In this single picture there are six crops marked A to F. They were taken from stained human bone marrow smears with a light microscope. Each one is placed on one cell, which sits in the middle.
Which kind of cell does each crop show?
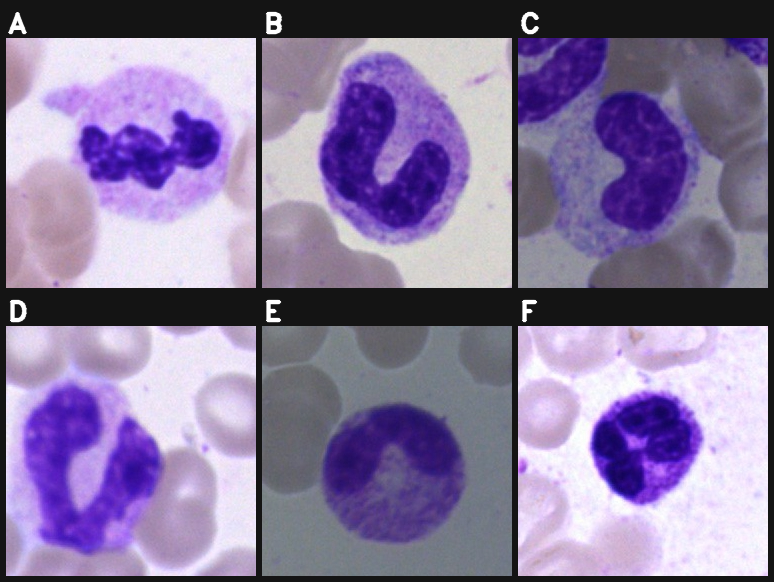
A: segmented neutrophil
B: band neutrophil
C: band neutrophil
D: band neutrophil
E: band neutrophil
F: segmented neutrophil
